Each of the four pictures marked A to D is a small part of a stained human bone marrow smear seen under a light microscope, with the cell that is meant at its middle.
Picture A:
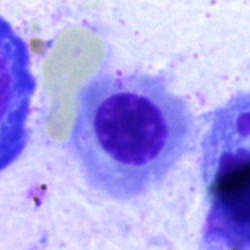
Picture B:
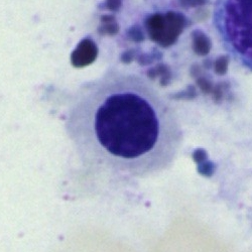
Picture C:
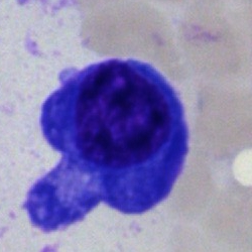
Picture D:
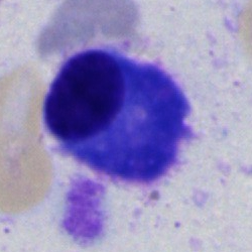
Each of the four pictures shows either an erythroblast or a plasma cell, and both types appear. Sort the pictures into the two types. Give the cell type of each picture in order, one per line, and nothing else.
erythroblast
erythroblast
plasma cell
plasma cell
